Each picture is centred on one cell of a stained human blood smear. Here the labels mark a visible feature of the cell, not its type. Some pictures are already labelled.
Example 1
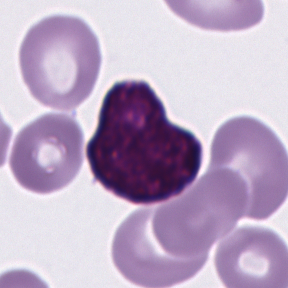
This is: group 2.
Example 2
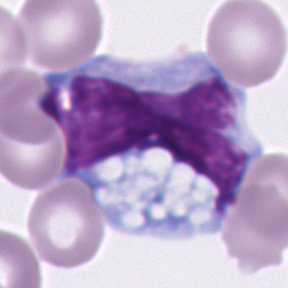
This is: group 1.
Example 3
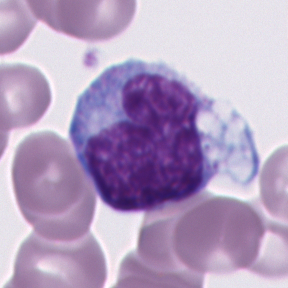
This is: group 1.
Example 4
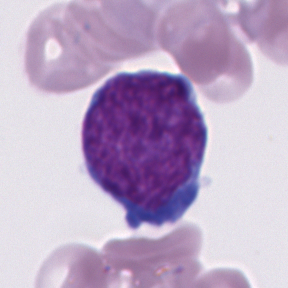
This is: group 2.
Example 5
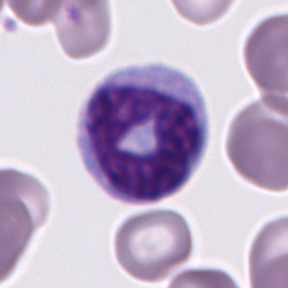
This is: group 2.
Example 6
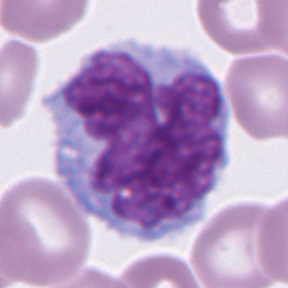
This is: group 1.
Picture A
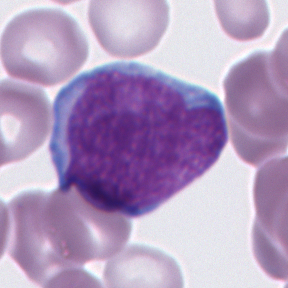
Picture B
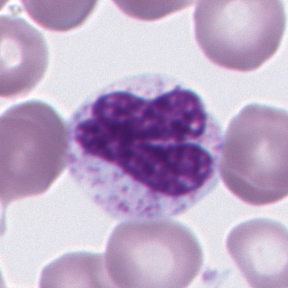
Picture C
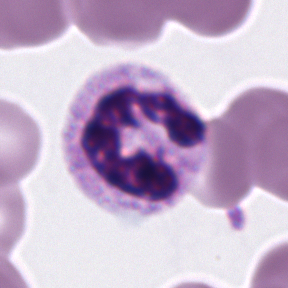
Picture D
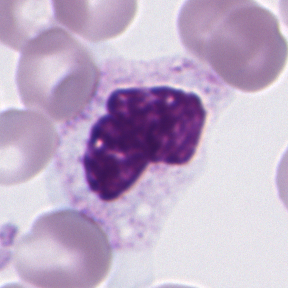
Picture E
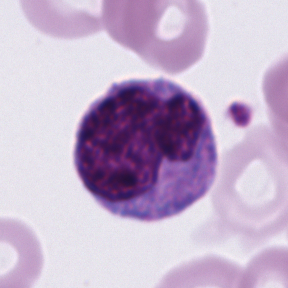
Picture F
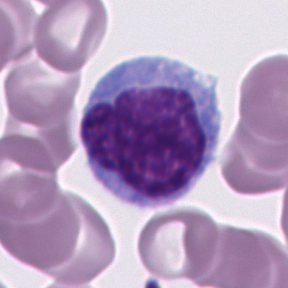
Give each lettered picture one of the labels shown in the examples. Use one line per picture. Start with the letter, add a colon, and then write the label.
A: group 2.
B: group 2.
C: group 2.
D: group 1.
E: group 2.
F: group 2.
